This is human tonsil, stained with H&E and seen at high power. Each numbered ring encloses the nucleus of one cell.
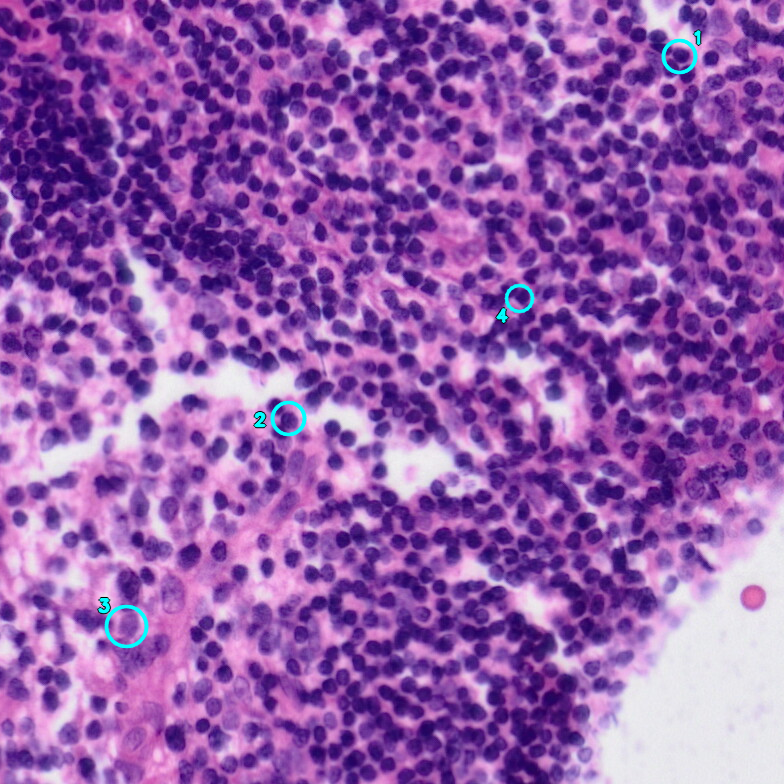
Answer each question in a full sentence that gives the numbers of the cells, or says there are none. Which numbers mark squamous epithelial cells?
The numbered cells do not include any squamous epithelial cells.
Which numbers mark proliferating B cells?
Of the cells bearing numbers, the only one that is a proliferating B cell is cell 3.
